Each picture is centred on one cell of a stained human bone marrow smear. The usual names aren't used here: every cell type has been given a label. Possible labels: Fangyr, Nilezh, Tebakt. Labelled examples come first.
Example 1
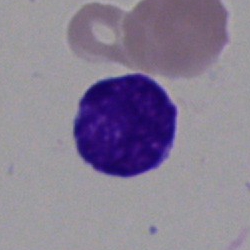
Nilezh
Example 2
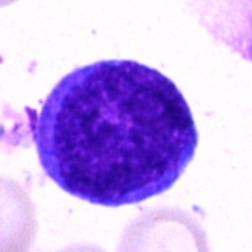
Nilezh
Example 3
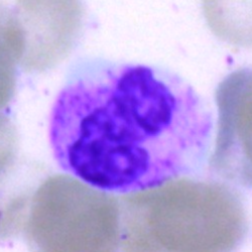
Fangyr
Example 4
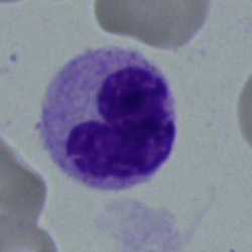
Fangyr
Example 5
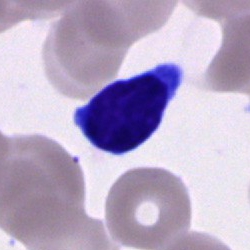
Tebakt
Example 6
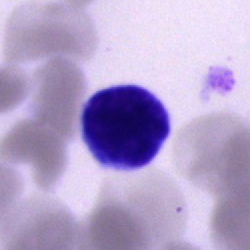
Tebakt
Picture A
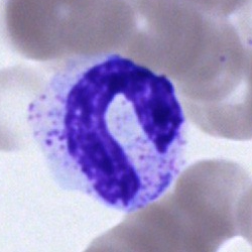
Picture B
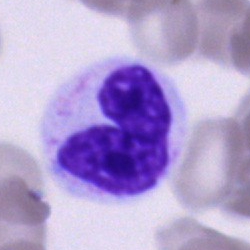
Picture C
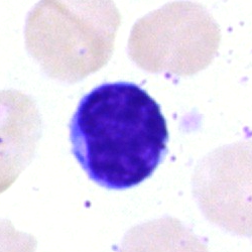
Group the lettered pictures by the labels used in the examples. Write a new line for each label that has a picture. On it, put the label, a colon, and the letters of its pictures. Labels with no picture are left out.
Fangyr: A, B
Tebakt: C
